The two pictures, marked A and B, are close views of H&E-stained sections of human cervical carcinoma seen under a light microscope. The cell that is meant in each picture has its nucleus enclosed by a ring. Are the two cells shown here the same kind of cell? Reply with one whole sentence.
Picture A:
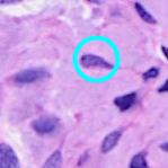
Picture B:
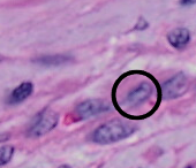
No, they differ: the cell is a fibroblast in picture A and an endothelial cell in picture B.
